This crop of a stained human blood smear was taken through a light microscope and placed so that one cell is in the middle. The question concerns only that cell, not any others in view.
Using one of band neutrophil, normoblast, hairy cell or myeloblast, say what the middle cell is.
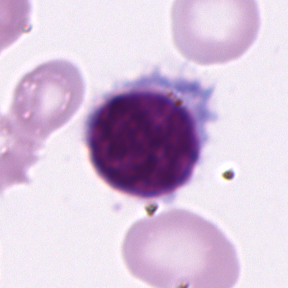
hairy cell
